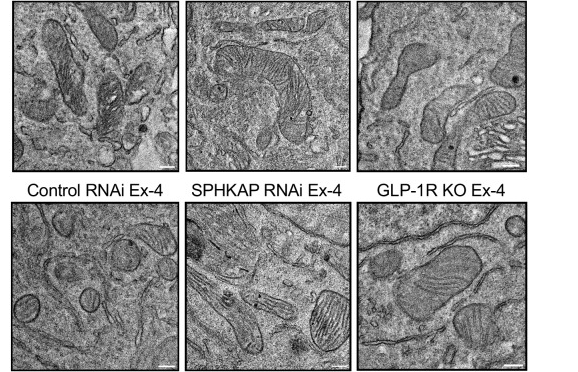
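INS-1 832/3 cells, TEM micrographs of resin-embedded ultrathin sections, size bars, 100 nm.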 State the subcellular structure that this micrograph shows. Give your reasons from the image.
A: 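Oval and elongated organelles bounded by a double membrane. Inner membrane folds run across the organelles as parallel lamellae. The organelles sit in a granular cytoplasm among membrane profiles. So: mitochondria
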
